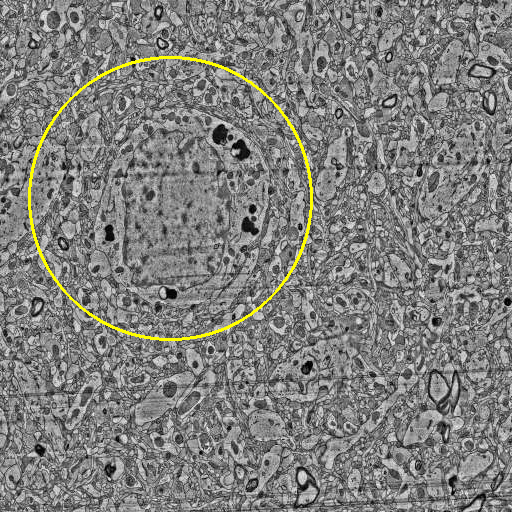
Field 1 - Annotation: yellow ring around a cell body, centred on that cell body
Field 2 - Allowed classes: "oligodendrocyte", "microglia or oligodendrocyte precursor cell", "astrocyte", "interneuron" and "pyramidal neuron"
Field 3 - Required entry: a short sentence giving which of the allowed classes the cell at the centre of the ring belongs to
The centred cell is an interneuron.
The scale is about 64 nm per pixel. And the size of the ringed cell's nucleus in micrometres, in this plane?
In this plane, approximately 10 by 7 micrometers.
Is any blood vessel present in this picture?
No, a blood vessel is absent from this picture.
